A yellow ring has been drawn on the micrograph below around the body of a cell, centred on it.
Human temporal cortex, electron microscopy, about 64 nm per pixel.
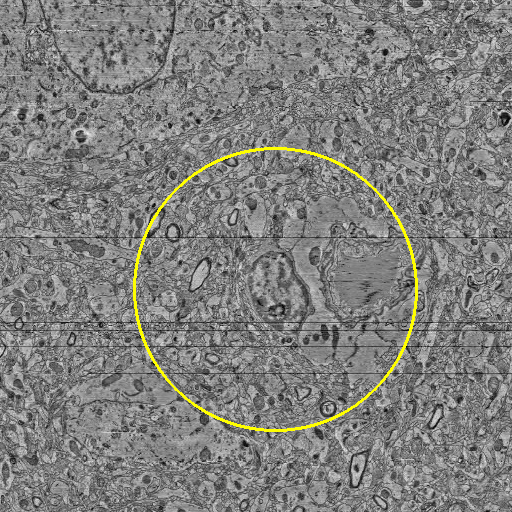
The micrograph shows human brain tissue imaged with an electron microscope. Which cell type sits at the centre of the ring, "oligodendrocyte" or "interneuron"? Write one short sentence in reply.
The cell sitting at the centre of the ring is an oligodendrocyte.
